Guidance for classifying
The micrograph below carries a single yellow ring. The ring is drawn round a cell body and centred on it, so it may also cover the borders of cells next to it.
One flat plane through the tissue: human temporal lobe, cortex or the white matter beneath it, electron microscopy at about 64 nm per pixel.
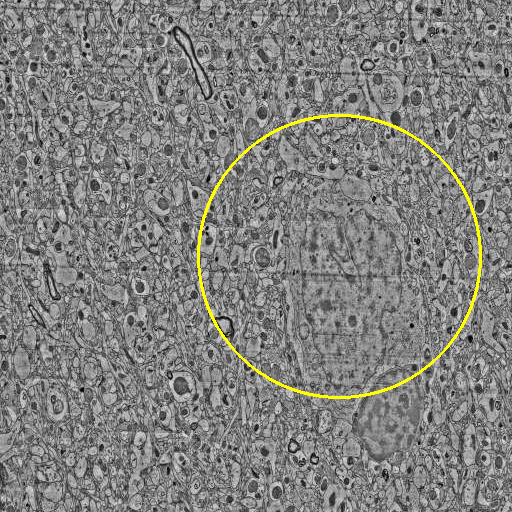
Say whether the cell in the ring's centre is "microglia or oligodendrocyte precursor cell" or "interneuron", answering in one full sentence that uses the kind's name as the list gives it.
Within the yellow ring, an interneuron is the cell whose body sits at the centre.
